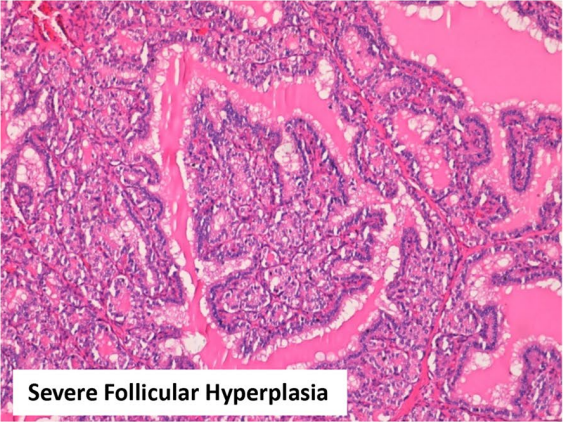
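Thyroid tissue in which the follicle lining forms abundant, branching papillary structures. Complex fronds of epithelium, some with thin stromal cores, project into large spaces filled with dense, homogeneous pink colloid, and the colloid edge next to the cells shows small clear bubbles. Within the fronds, the epithelium folds into tight, crowded glandular arrays. The architecture is disordered and crowded compared with the simple round follicles of normal thyroid.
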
